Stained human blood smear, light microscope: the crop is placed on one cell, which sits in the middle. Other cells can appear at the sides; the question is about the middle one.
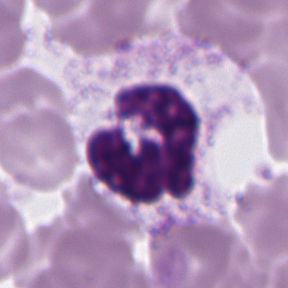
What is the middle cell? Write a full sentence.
Within this crop, a segmented neutrophil occupies the central position.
